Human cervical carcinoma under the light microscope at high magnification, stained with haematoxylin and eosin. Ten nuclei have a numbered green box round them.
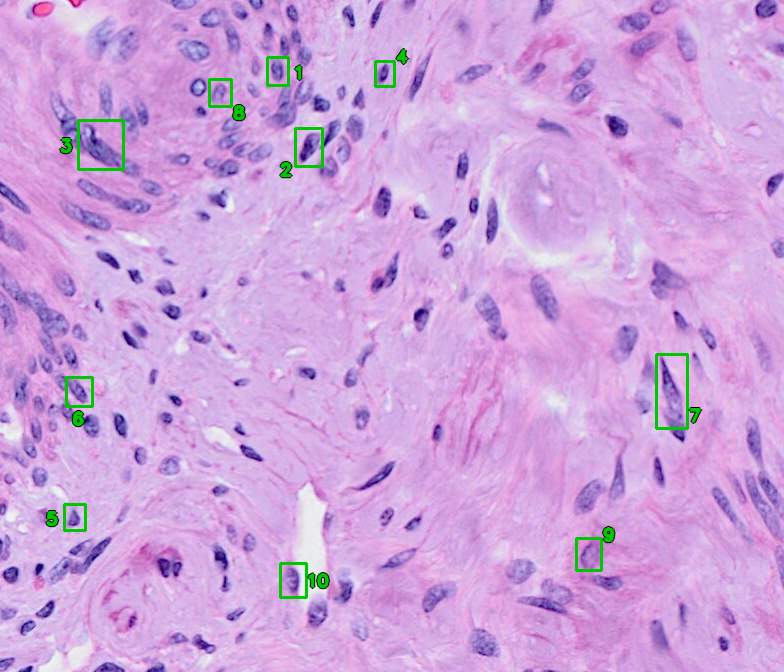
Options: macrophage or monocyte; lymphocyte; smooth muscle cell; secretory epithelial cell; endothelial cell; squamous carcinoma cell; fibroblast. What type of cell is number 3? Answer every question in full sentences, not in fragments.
Regarding cell 3, this one is a smooth muscle cell.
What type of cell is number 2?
The marked nucleus 2 is that of a lymphocyte.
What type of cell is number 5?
Cell 5 is classified as a fibroblast.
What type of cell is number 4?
Denoted by the label 4 in the section is a fibroblast.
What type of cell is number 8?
Of the numbered cells, the one labelled 8 is a smooth muscle cell.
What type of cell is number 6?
Cell 6 of the marked set is a smooth muscle cell.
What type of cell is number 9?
At number 9, the marked cell is a smooth muscle cell.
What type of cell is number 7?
The cell numbered 7 has been identified as a fibroblast.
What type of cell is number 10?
Marked with the number 10, this cell is an endothelial cell.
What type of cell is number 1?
The cell referred to as 1 is a smooth muscle cell.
